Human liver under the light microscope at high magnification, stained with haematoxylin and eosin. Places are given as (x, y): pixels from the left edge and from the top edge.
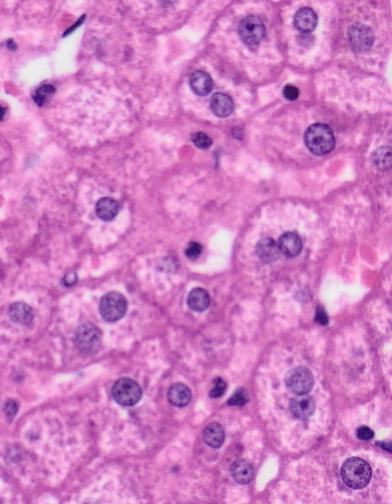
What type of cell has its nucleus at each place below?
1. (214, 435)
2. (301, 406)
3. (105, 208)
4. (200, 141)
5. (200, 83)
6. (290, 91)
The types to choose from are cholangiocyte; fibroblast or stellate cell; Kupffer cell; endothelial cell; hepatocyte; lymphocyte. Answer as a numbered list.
1. hepatocyte
2. hepatocyte
3. hepatocyte
4. lymphocyte
5. hepatocyte
6. lymphocyte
